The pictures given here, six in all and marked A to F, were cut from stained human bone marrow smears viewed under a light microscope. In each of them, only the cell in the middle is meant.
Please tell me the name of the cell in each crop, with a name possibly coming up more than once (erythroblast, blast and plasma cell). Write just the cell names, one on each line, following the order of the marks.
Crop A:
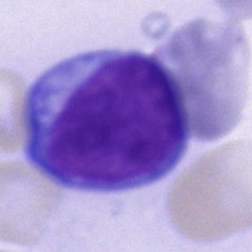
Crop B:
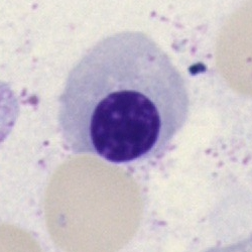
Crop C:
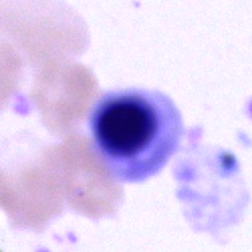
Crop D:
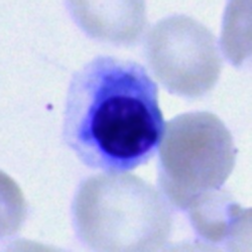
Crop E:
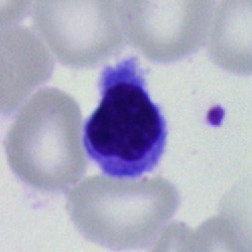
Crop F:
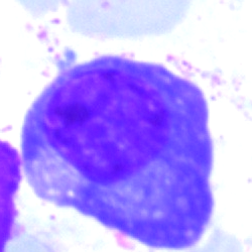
blast
erythroblast
erythroblast
erythroblast
erythroblast
plasma cell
